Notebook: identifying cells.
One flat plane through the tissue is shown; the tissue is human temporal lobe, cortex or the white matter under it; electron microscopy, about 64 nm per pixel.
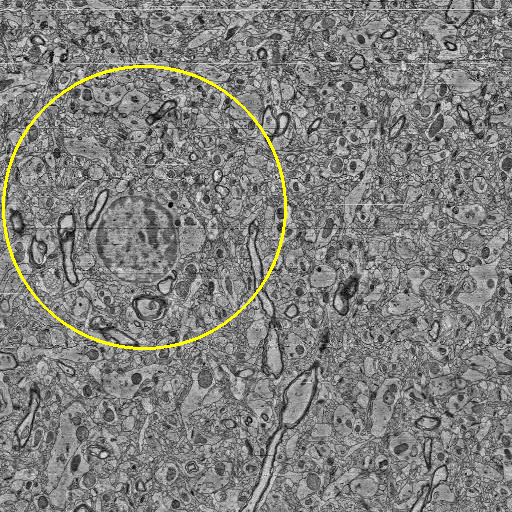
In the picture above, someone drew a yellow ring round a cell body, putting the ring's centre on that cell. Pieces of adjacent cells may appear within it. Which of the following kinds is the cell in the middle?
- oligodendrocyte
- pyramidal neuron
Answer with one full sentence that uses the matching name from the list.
In this picture, the yellow ring is centred on the body of an oligodendrocyte.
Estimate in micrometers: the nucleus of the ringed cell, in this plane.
The ringed cell's nucleus is about 6 micrometres long and 5 micrometres wide in this plane.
